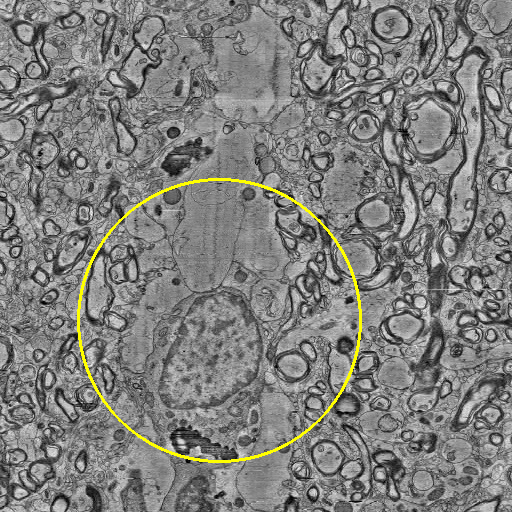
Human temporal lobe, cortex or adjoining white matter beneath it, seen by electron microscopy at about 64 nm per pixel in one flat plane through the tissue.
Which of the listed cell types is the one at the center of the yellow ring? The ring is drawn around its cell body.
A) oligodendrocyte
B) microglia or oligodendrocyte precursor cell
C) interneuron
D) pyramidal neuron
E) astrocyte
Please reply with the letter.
A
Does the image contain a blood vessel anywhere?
Yes, a blood vessel is present in this picture.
